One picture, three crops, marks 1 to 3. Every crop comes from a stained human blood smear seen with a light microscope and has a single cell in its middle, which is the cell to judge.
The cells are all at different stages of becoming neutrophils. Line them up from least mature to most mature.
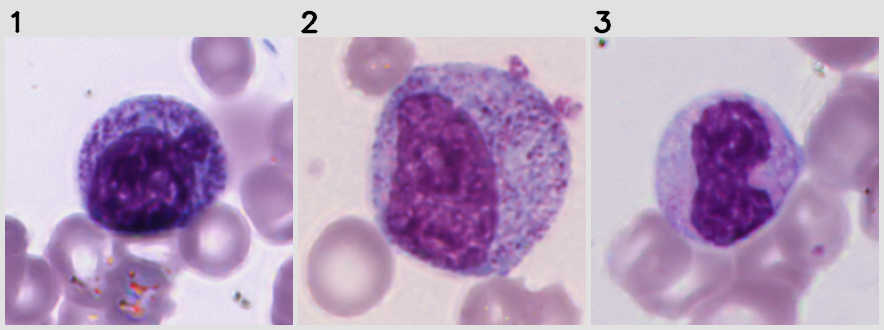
2, 1, 3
